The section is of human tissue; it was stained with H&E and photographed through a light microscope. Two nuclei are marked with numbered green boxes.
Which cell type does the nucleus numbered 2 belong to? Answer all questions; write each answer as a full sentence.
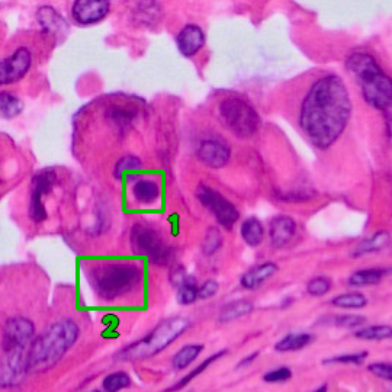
The numbered cell 2 is identified here as a carcinoma cell.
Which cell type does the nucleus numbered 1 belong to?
The correct label for cell 1 is a lymphocyte.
